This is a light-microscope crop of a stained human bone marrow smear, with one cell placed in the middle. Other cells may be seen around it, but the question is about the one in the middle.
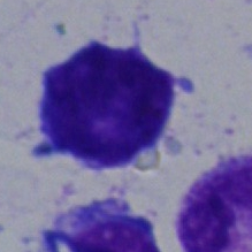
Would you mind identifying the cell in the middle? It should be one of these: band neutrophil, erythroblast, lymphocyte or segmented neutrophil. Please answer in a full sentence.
The crop centres on a single cell, and that cell is a lymphocyte.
